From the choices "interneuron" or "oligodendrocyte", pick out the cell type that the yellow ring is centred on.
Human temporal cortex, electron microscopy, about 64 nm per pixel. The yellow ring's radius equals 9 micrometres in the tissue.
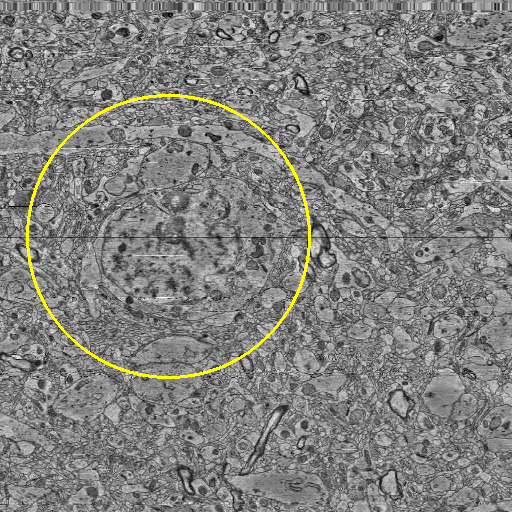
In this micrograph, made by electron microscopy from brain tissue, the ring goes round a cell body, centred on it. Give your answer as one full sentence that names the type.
The yellow ring is centred on an interneuron, whose cell body it encircles in the picture.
